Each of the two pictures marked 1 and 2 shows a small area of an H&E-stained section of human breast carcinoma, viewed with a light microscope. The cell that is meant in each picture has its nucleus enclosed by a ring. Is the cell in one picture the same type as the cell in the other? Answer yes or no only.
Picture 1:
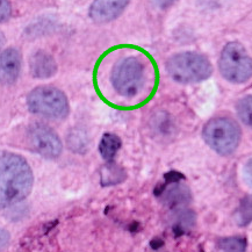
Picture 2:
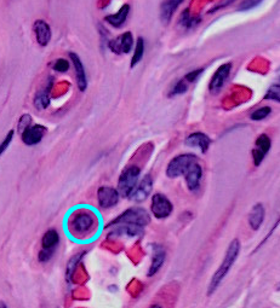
no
